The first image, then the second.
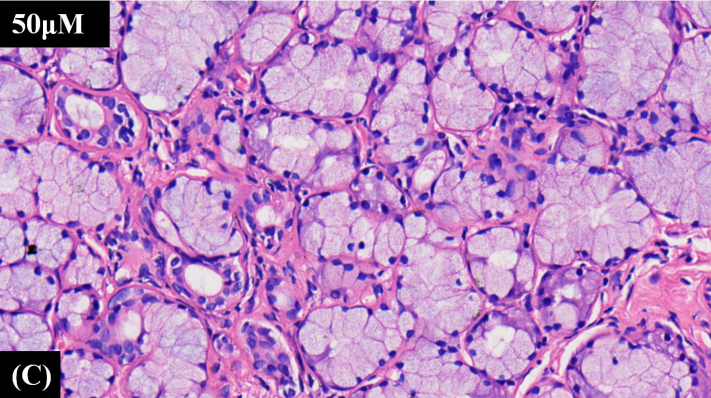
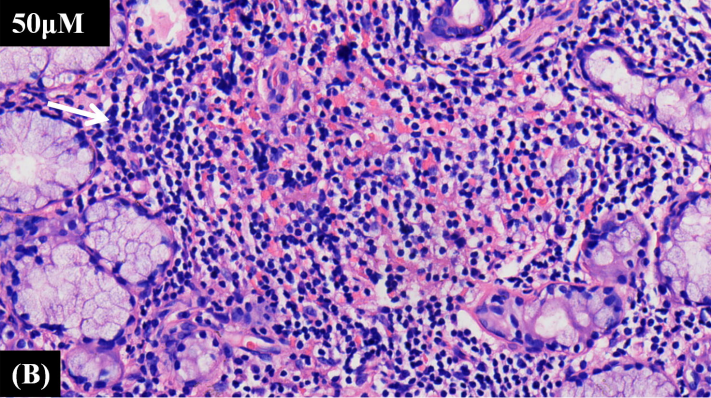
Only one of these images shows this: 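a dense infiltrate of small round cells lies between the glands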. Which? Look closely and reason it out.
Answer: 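First image: acini lie close together separated only by thin pink septa with few small dark cells. Second image: a broad field of closely packed small dark-nucleated cells separates the acini. The answer: the second image.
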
